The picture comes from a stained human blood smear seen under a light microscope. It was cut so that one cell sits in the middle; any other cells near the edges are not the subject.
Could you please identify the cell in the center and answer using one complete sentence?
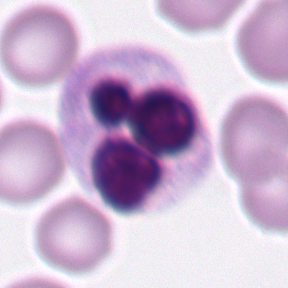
In the centre of this crop there is a neutrophil.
